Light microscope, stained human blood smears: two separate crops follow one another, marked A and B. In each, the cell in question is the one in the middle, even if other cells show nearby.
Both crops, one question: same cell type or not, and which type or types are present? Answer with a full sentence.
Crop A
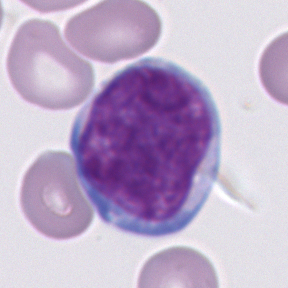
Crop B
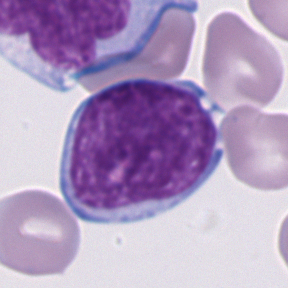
Yes, the middle cells in both crops are indeed myeloblasts.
